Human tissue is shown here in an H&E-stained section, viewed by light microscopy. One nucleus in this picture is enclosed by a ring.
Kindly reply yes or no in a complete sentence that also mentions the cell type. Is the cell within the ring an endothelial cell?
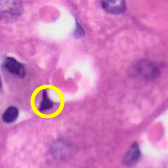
No, score the cell within the ring as a fibroblast or stellate cell; it is not an endothelial cell.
